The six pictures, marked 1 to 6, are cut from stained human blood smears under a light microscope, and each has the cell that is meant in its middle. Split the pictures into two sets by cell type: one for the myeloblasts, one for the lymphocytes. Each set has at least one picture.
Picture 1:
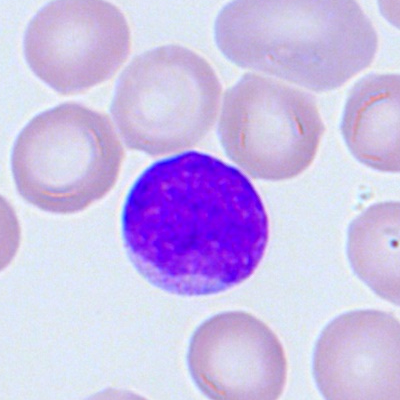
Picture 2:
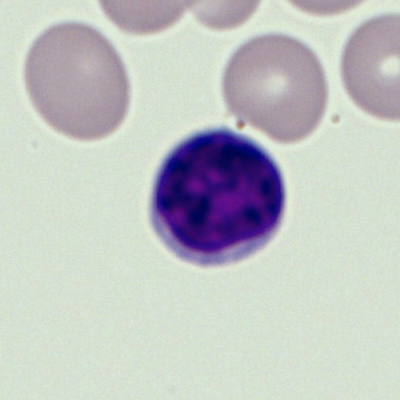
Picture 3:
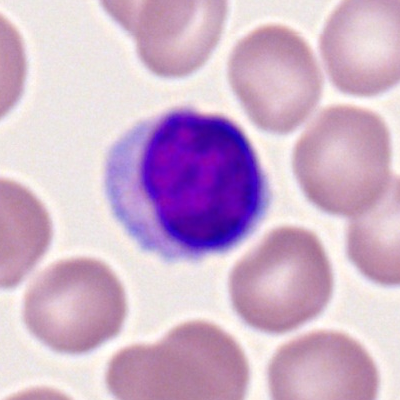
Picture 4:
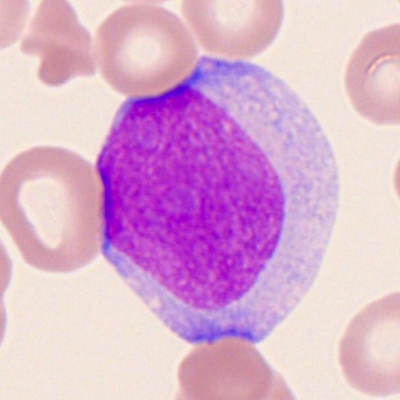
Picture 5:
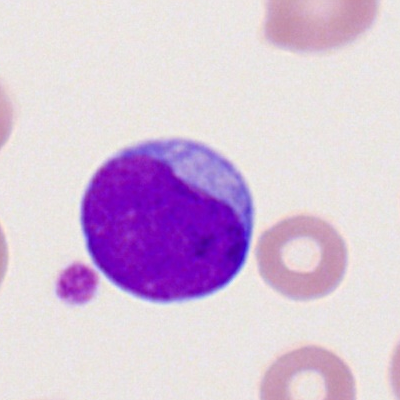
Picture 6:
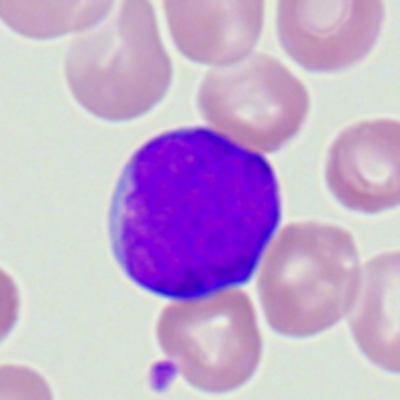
1: myeloblast
2: lymphocyte
3: lymphocyte
4: myeloblast
5: myeloblast
6: myeloblast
